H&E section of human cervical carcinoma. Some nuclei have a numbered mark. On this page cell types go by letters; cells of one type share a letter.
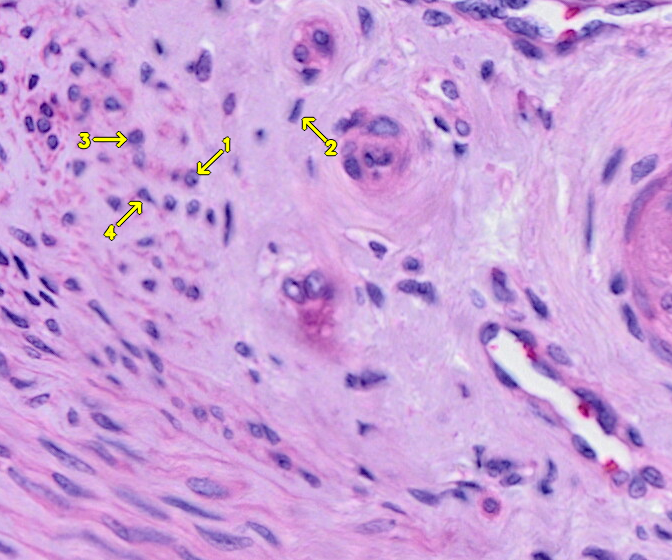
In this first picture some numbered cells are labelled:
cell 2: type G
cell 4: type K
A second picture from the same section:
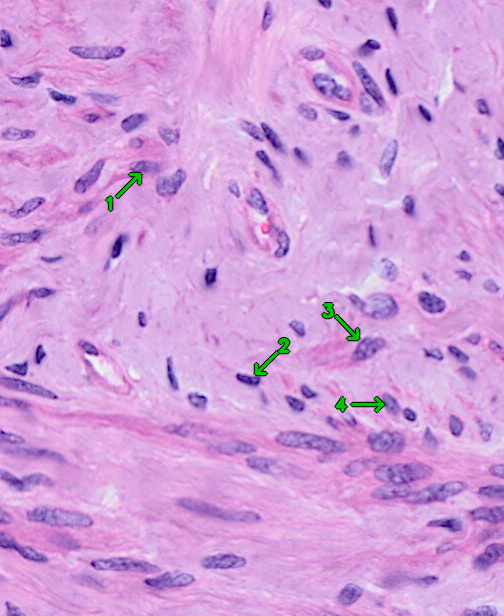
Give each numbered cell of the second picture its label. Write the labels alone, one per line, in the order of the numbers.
type K
type G
type K
type K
